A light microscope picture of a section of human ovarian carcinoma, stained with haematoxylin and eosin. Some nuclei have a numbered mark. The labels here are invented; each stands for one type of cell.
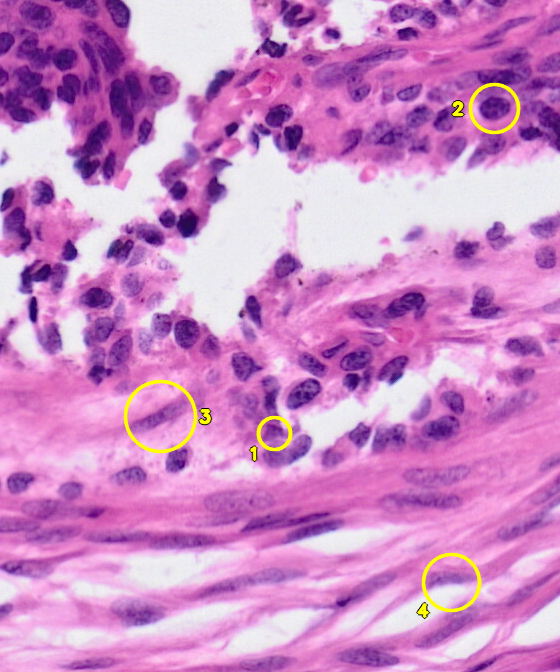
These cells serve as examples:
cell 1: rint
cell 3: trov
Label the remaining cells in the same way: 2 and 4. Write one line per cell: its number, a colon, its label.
2: rint
4: trov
